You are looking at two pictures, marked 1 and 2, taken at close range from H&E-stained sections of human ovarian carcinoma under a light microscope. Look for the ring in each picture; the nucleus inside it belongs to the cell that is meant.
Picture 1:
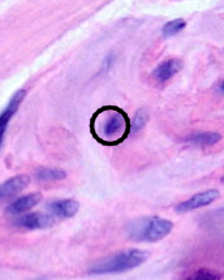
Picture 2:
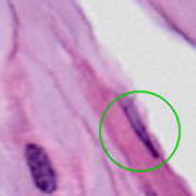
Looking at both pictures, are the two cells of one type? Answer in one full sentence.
Yes, both cells are smooth muscle cells.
